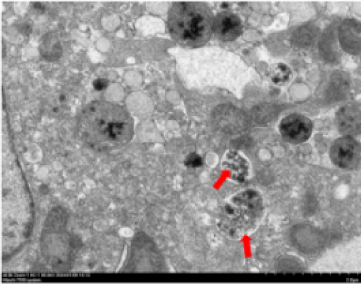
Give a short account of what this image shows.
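The cytoplasm holds numerous round, membrane-bound bodies of varied size, many with dark, electron-dense contents. Two red arrows point to rounded vesicles containing clustered dark material and smaller inclusions. A pale, irregular vacuolar space lies in the upper middle of the field.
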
